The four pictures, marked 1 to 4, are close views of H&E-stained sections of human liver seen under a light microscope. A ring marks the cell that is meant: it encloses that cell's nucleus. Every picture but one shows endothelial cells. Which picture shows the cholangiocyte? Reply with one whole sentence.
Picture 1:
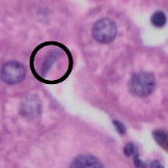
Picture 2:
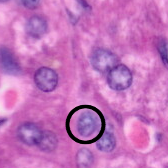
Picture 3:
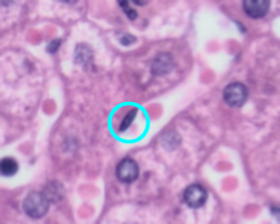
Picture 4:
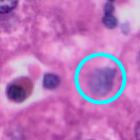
The cell in picture 2 is the cholangiocyte.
